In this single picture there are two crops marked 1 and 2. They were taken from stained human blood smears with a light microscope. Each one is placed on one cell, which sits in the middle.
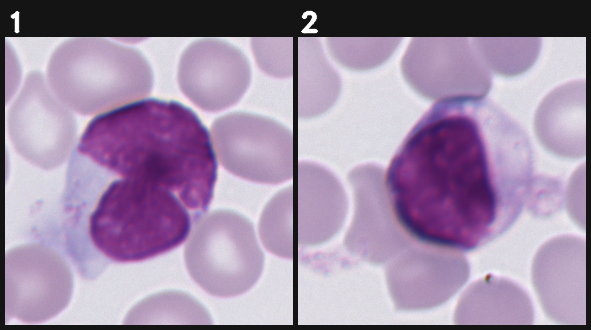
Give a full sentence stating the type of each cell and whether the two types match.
Yes, the cells at the centres of the two crops are large granular lymphocytes.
